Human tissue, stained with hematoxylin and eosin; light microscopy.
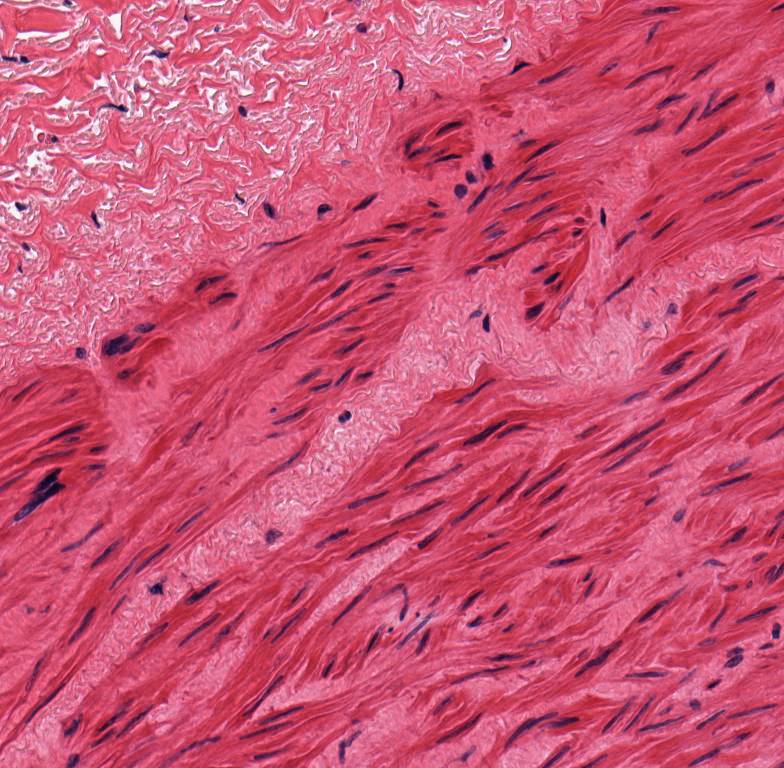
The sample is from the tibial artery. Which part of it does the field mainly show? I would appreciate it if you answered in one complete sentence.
The human tissue part in this section is tunica media.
